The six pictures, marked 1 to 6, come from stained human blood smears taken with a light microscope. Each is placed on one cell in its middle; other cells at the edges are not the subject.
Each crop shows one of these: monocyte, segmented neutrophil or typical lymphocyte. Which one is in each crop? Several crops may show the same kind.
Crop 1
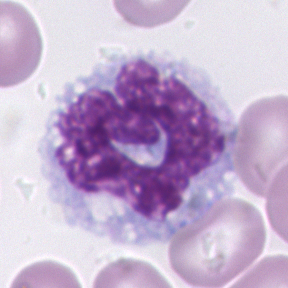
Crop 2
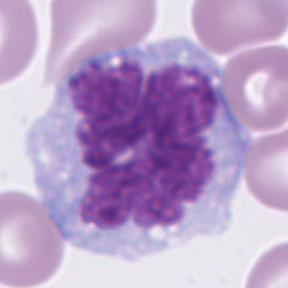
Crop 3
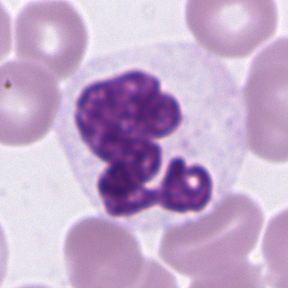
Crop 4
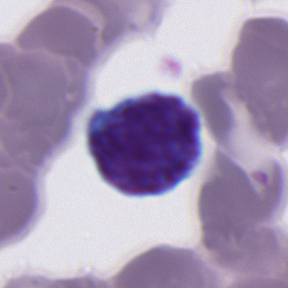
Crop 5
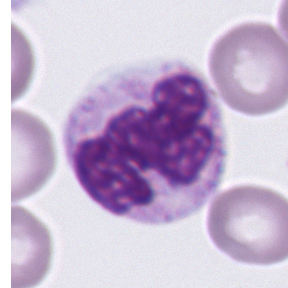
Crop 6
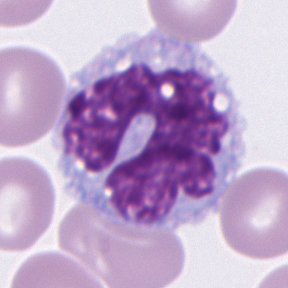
1: monocyte
2: monocyte
3: segmented neutrophil
4: typical lymphocyte
5: segmented neutrophil
6: monocyte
